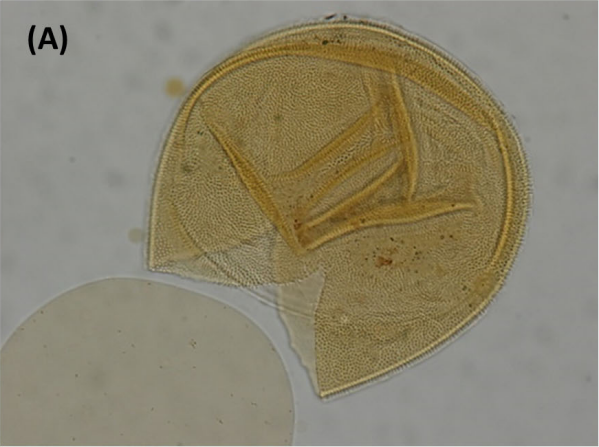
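Several narrow, elongated wall fragments lie folded across the interior. The wall surface carries a fine, regular pattern of small pits or dots over its whole extent. No cytoplasmic contents are evident; the spore appears empty and translucent.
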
